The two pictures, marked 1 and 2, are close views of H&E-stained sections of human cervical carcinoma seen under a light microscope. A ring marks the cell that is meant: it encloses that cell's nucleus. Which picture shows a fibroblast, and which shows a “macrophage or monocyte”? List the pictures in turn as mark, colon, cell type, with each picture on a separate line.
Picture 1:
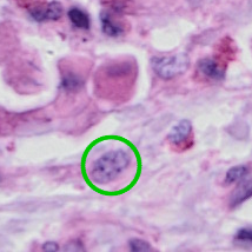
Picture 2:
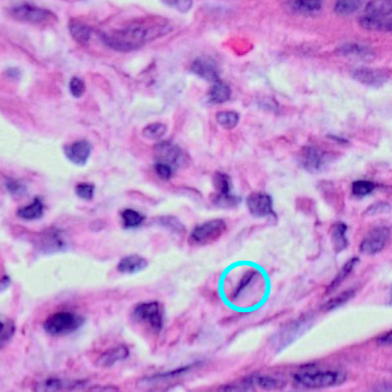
1: macrophage or monocyte
2: fibroblast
